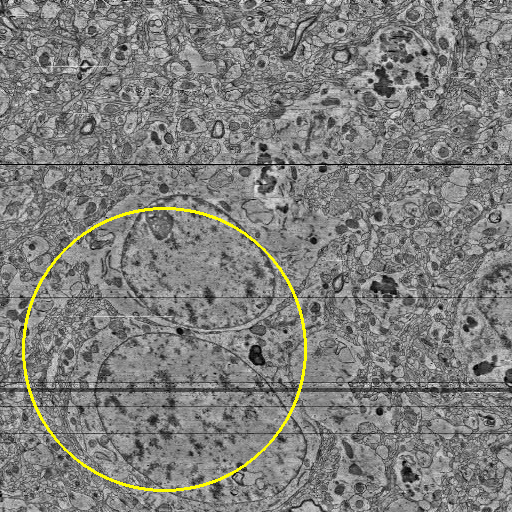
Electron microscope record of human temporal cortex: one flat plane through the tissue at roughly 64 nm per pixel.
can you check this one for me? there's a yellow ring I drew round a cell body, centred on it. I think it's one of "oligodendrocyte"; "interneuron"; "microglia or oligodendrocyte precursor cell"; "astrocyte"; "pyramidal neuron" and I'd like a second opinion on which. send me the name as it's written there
pyramidal neuron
